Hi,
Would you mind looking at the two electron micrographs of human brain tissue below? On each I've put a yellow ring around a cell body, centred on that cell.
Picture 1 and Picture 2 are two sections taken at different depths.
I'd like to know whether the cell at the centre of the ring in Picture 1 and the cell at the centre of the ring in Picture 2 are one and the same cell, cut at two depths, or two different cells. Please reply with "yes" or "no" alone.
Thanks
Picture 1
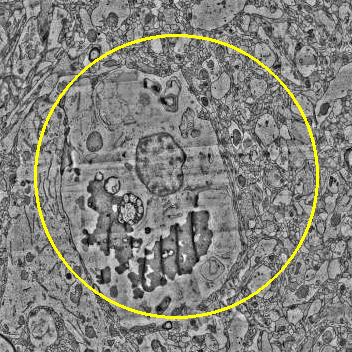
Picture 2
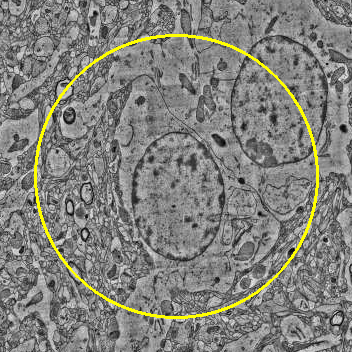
no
